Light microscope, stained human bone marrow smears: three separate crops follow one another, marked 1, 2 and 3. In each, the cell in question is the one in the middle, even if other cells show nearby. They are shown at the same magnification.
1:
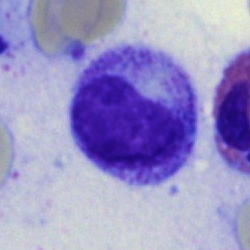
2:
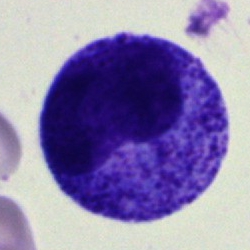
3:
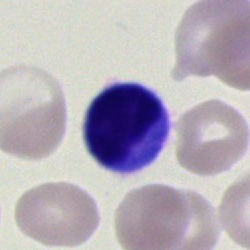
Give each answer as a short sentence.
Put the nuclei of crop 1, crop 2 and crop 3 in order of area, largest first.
From the largest down, the order is 2, 1, 3.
